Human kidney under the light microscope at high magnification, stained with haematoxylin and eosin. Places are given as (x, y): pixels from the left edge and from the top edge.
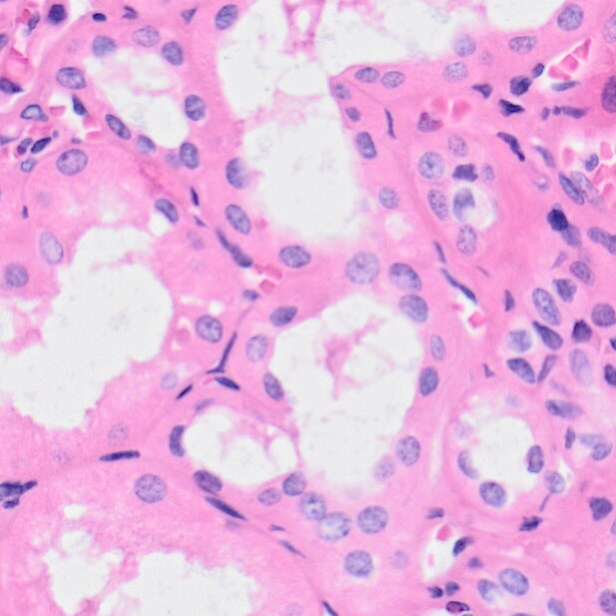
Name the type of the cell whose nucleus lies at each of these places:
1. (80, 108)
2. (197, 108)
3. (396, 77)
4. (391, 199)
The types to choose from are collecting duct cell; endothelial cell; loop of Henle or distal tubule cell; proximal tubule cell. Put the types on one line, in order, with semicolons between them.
endothelial cell; loop of Henle or distal tubule cell; loop of Henle or distal tubule cell; loop of Henle or distal tubule cell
